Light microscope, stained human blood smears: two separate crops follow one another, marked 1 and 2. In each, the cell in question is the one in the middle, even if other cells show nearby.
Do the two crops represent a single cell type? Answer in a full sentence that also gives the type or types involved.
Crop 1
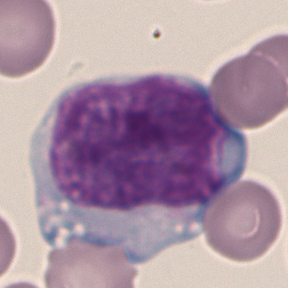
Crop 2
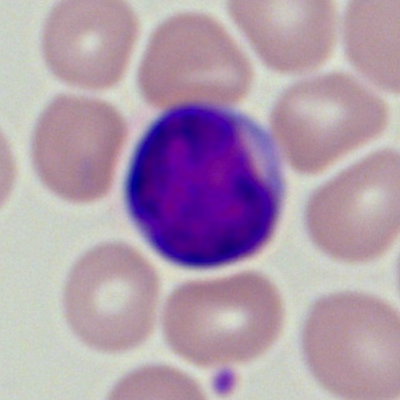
Yes, in both crops, blasts are the cells at the middle.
